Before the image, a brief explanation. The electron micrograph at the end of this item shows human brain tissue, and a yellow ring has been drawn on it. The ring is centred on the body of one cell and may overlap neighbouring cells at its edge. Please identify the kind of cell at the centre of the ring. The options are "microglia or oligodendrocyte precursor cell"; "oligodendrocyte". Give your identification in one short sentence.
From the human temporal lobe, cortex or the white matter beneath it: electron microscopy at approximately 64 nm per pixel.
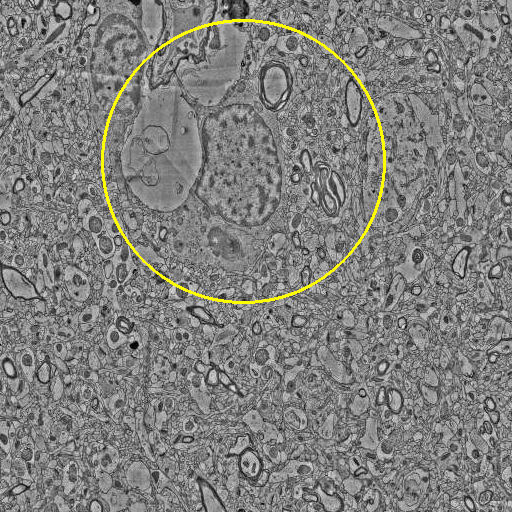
The ring has been placed around an oligodendrocyte.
